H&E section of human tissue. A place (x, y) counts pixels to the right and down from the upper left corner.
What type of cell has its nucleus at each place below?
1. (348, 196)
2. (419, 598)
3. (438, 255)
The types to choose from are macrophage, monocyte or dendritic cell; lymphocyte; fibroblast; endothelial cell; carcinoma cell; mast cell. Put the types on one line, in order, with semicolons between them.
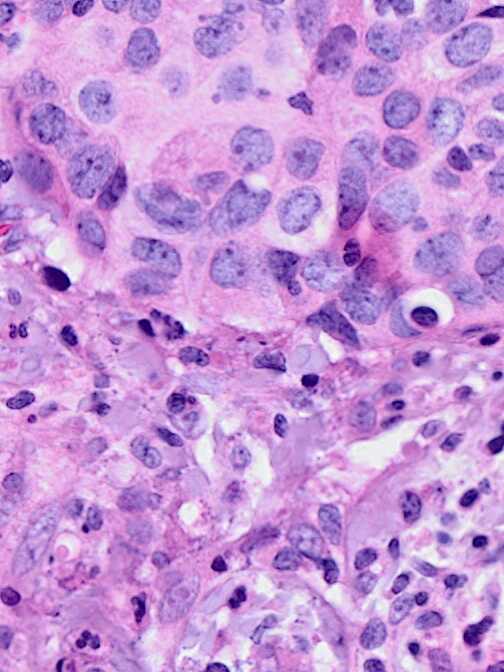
carcinoma cell; lymphocyte; carcinoma cell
